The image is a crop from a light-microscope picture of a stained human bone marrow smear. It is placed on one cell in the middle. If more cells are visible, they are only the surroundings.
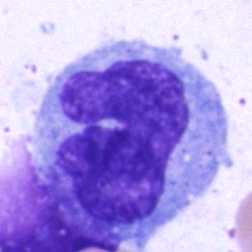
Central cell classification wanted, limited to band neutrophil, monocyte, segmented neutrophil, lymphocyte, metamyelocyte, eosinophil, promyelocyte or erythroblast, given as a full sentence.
The cell centred in this crop is categorized as a monocyte.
